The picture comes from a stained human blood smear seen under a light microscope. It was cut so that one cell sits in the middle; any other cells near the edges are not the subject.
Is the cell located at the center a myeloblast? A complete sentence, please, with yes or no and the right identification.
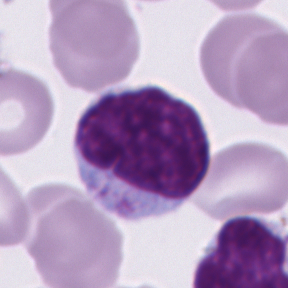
No, it isn't a myeloblast; what sits in the middle is a large granular lymphocyte.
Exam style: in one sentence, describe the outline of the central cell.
Around its whole circumference the outline stays smooth, free of projections.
